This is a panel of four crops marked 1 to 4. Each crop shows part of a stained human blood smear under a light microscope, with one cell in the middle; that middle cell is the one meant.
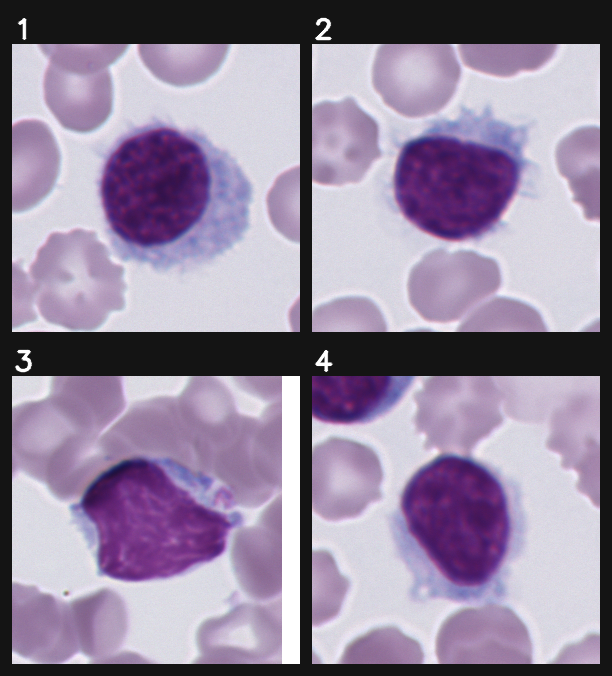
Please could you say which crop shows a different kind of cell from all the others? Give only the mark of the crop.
3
